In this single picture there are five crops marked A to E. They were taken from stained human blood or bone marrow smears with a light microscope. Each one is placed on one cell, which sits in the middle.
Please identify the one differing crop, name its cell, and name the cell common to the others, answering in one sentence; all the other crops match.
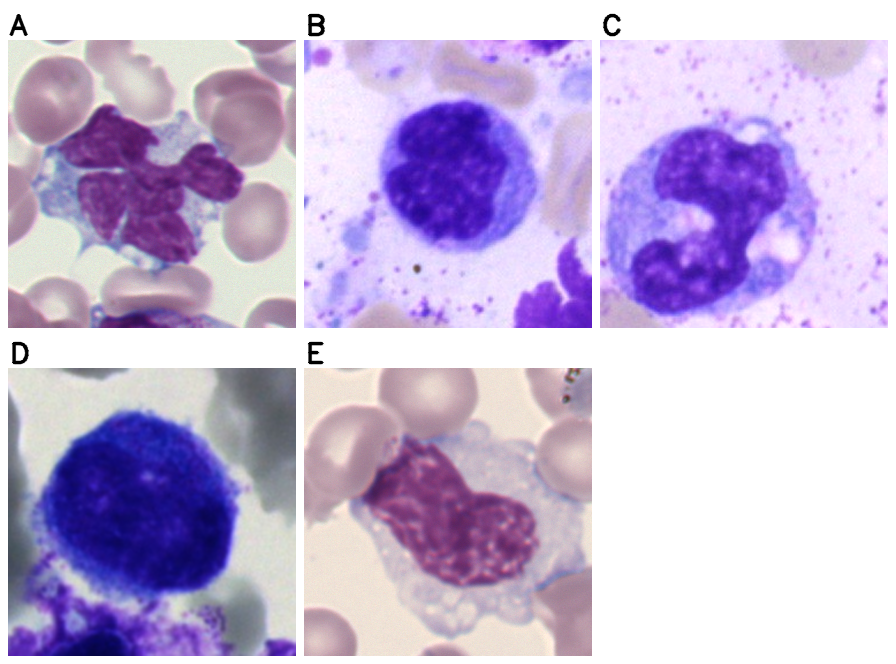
Crop D contains a promyelocyte, setting it apart from the other crops, which all contain monocytes.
